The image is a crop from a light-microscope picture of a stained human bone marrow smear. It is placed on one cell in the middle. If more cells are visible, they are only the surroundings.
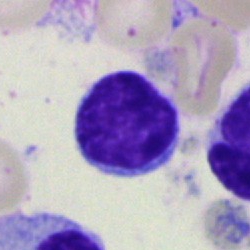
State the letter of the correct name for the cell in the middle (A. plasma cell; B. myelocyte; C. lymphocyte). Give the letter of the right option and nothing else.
C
